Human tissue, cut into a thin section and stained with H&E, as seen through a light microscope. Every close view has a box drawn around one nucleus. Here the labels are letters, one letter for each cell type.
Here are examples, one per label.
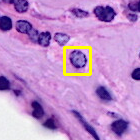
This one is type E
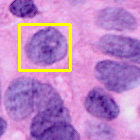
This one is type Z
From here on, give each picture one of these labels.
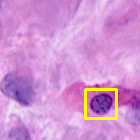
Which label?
type E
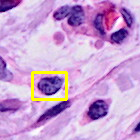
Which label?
type E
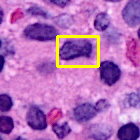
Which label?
type Z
